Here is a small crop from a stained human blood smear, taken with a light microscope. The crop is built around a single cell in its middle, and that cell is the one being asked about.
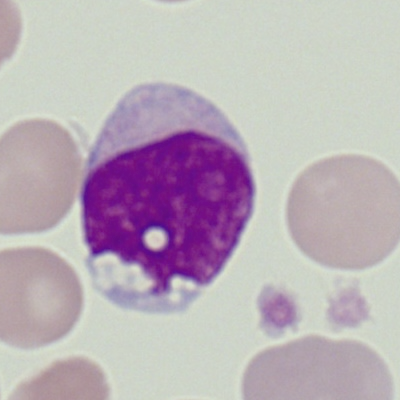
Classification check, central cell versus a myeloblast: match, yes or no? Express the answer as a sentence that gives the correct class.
Yes, the cell here in the middle is a myeloblast.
